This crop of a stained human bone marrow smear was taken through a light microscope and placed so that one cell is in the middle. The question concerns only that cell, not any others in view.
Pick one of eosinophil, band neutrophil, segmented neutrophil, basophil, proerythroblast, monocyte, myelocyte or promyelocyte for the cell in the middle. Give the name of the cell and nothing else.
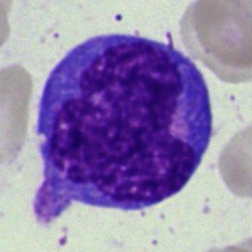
monocyte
